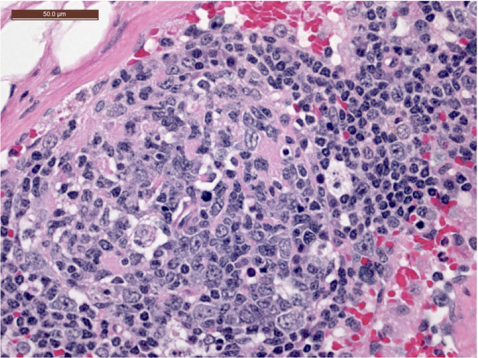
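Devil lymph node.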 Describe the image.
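Along the upper left runs a band of pink fibrous tissue, and below it lies a rounded collection of cells. Within this collection many cells are larger, with pale oval nuclei, open chromatin and small nucleoli, while towards the right and edges they are mixed with small lymphocytes with dense, dark round nuclei and little cytoplasm. Bright red, anucleate red blood cells are scattered among the cells, especially on the right side.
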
